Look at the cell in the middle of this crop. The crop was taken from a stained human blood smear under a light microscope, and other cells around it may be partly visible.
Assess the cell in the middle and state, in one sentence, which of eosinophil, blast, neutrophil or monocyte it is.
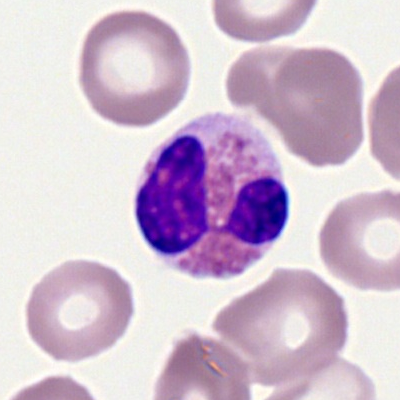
Within this crop, an eosinophil occupies the central position.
